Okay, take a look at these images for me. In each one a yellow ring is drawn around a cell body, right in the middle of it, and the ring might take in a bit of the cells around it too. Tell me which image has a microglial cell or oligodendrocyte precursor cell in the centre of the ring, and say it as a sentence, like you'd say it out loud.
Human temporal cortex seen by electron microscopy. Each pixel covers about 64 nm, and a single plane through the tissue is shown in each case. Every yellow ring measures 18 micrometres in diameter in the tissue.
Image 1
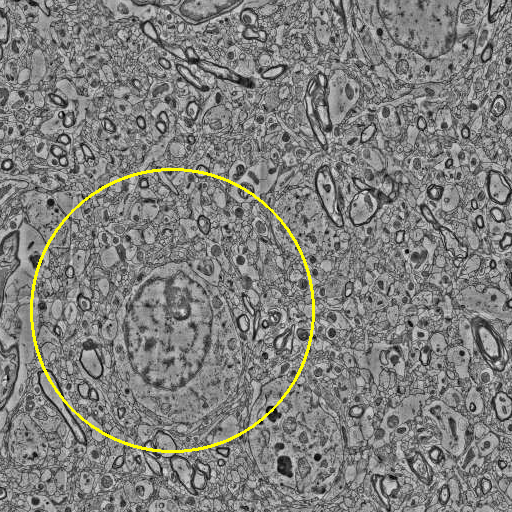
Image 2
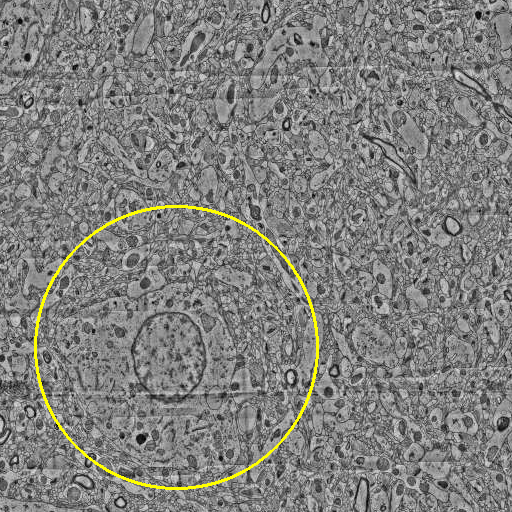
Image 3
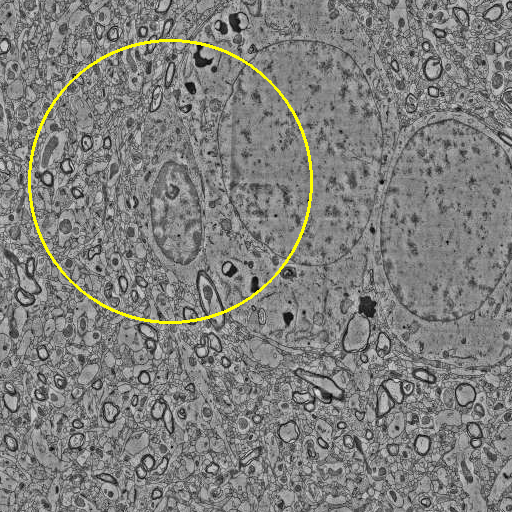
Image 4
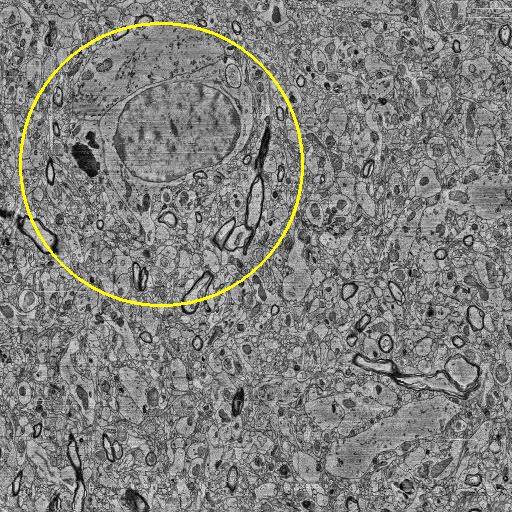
Image 4 is the one with it in the centre of the ring.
